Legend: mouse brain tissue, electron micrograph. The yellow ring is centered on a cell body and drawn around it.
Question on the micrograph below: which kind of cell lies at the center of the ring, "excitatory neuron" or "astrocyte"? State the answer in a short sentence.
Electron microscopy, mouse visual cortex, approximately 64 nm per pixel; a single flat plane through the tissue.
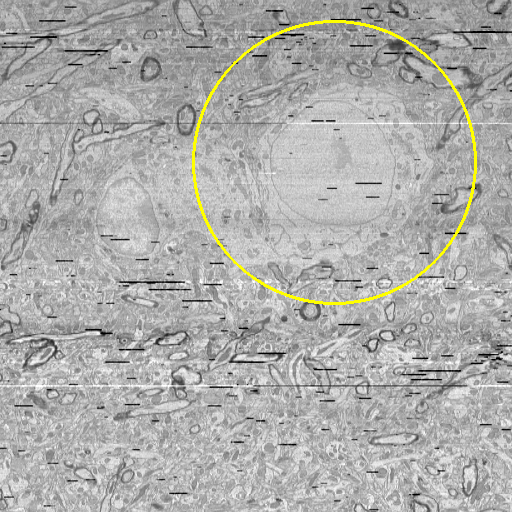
At the center of the ring lies an excitatory neuron.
